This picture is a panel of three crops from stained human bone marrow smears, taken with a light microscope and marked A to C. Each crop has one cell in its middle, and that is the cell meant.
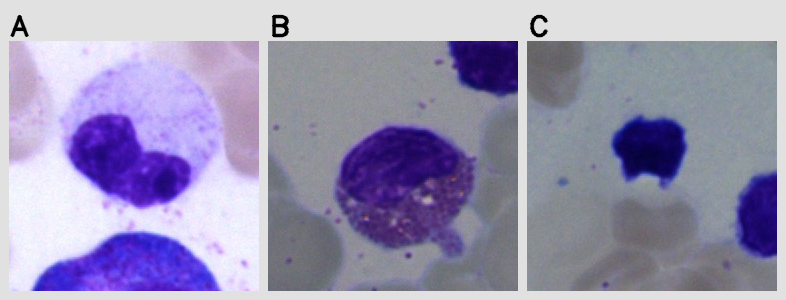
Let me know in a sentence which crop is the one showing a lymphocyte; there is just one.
It is crop C, not any other, that shows a lymphocyte.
